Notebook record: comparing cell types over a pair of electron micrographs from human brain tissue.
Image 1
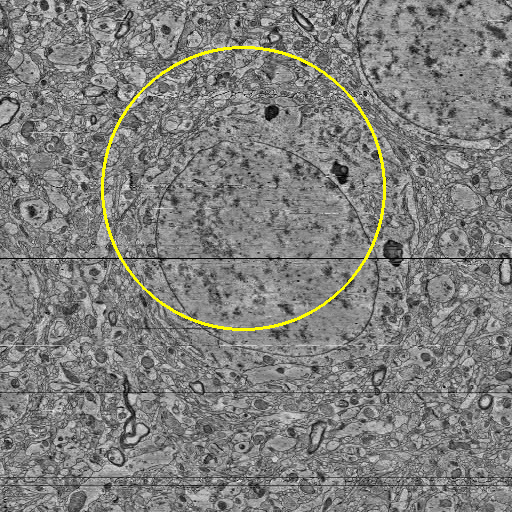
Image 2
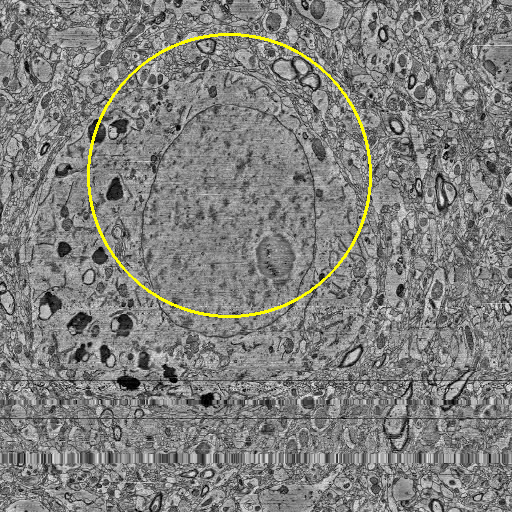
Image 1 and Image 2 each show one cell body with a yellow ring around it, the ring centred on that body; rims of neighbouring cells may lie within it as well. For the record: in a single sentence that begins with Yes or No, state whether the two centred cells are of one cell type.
Yes, one cell type is shared by the centred cells of Image 1 and Image 2.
